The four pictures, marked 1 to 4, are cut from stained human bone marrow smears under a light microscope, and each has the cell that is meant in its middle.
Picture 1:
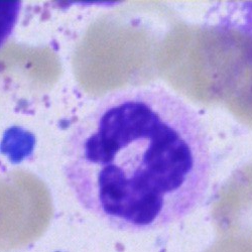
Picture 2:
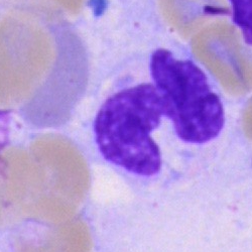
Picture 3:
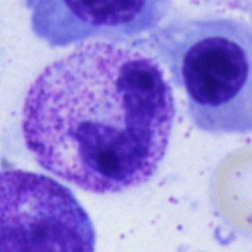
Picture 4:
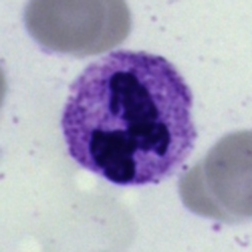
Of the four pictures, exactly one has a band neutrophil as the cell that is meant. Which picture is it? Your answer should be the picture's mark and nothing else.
3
